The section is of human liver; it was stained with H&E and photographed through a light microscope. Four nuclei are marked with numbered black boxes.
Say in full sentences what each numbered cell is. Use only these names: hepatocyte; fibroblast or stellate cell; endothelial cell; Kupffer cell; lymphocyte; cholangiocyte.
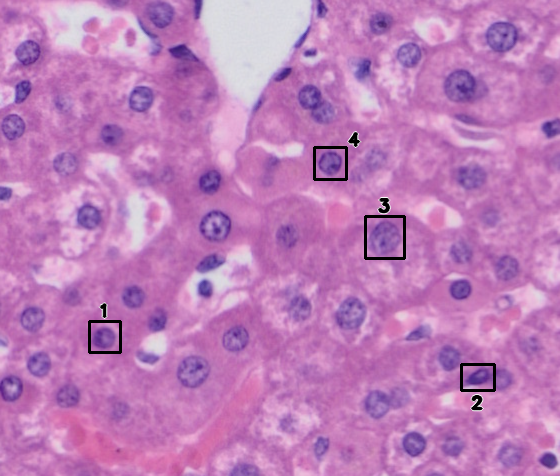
Cell 1 is a hepatocyte, cell 2 is a fibroblast or stellate cell, cell 3 is a hepatocyte and cell 4 is a hepatocyte.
